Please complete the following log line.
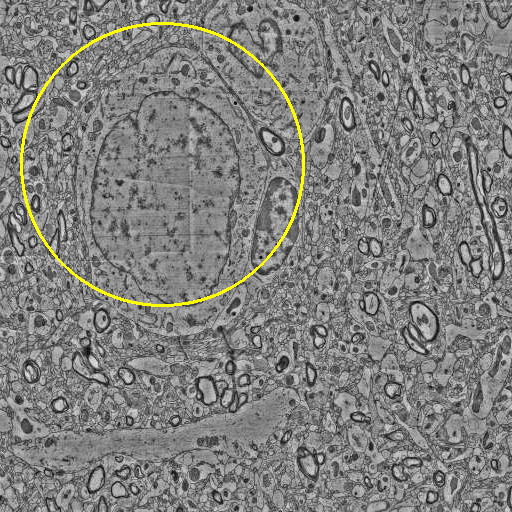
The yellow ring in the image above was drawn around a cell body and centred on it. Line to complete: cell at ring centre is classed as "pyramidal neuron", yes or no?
yes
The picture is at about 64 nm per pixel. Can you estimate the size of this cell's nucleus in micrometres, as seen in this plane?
Roughly 14 micrometres by 10 micrometres, in this plane.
